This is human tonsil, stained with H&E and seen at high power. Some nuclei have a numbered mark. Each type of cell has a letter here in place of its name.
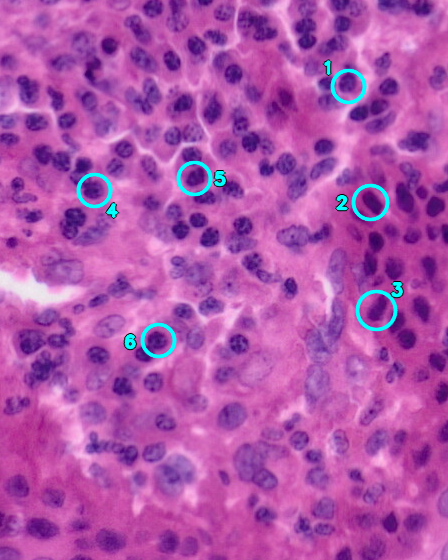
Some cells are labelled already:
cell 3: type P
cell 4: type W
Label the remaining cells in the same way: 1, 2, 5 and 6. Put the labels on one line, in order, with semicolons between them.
type W; type P; type W; type W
